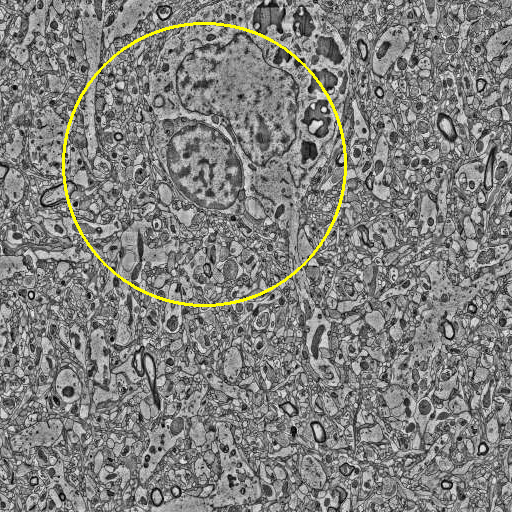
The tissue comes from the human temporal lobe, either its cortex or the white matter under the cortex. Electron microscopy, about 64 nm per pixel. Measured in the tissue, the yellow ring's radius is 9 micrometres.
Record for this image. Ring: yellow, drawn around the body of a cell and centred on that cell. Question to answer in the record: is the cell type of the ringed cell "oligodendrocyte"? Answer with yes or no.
yes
